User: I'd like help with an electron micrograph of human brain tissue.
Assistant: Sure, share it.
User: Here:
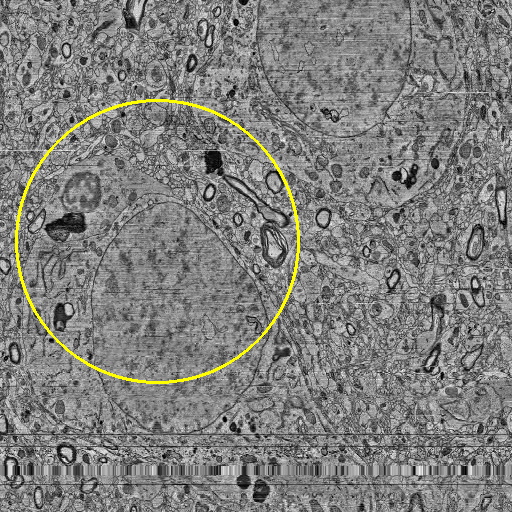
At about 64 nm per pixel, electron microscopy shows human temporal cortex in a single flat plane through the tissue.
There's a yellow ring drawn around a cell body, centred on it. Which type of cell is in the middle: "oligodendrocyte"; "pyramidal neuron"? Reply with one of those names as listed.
pyramidal neuron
